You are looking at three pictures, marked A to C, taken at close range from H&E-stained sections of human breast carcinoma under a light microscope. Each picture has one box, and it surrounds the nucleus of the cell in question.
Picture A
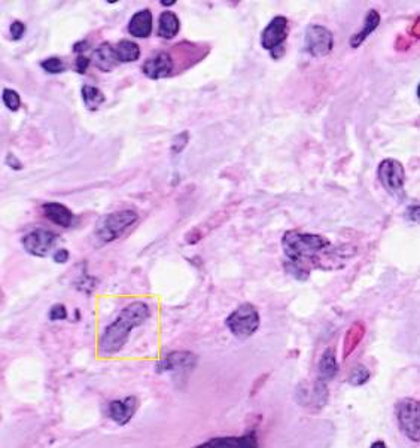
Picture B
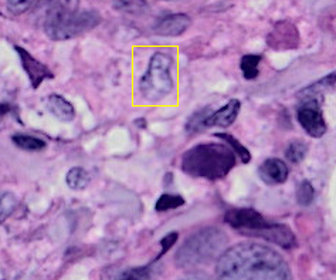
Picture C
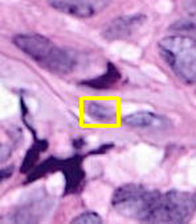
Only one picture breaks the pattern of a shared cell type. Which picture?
C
